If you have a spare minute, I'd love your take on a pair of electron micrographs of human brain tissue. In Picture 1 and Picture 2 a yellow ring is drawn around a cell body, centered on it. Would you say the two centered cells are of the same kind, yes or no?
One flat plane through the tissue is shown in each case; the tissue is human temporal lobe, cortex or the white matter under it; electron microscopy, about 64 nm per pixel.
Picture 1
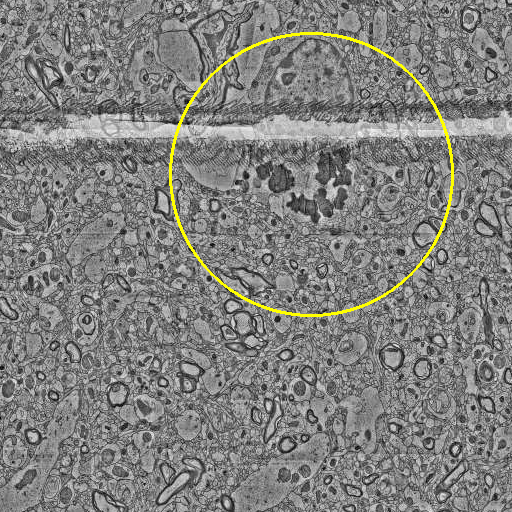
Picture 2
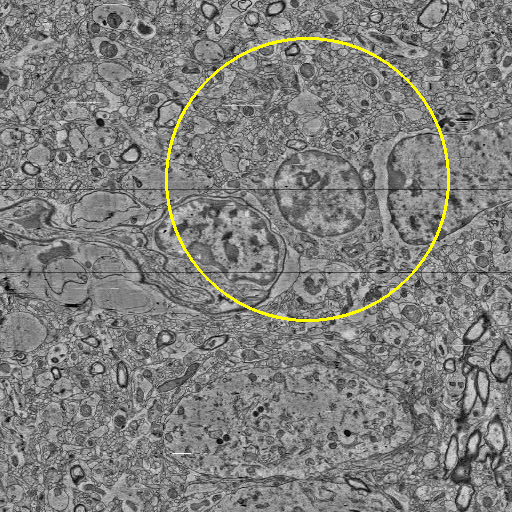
yes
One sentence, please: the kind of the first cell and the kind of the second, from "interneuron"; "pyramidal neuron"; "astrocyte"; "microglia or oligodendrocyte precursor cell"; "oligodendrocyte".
Each of the two rings surrounds an oligodendrocyte.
